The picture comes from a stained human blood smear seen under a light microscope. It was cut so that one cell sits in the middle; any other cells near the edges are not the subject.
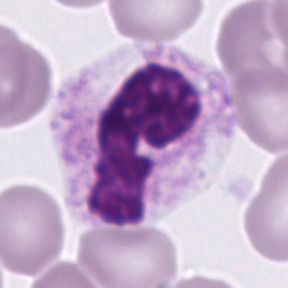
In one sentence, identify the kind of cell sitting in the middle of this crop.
The crop shows a segmented neutrophil in its centre.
